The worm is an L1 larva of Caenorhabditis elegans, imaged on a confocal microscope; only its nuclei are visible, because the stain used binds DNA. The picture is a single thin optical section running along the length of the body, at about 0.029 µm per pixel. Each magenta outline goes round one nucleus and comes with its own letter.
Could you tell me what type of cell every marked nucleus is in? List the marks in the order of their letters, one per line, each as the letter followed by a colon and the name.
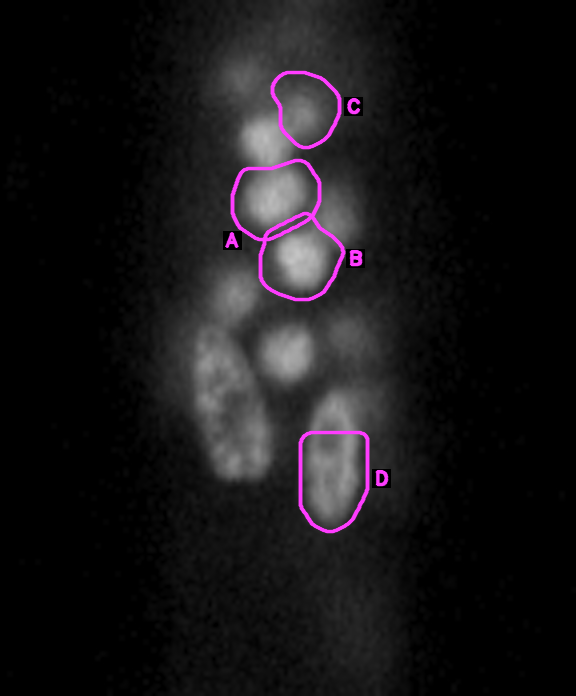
A: neuron
B: neuron
C: neuron
D: P cell (ventral epidermal blast cell)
